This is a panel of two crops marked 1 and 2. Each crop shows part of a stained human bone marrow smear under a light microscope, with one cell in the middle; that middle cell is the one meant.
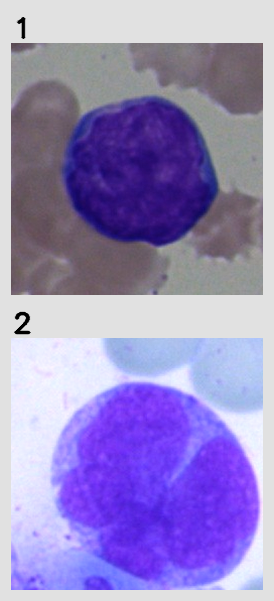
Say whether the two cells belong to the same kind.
yes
